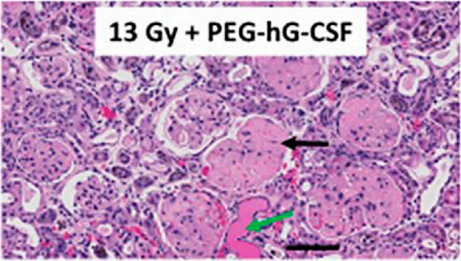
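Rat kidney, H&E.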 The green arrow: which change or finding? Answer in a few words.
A: Protein casts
